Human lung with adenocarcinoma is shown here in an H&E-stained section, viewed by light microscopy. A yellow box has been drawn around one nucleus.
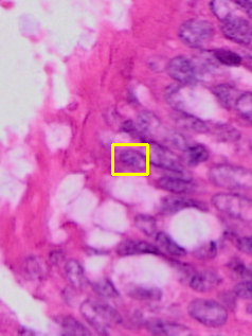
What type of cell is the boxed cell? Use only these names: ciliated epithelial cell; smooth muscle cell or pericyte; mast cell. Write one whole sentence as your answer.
The category to which the boxed cell belongs is that of a ciliated epithelial cell.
